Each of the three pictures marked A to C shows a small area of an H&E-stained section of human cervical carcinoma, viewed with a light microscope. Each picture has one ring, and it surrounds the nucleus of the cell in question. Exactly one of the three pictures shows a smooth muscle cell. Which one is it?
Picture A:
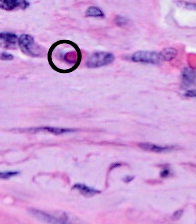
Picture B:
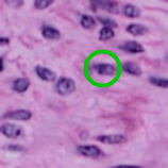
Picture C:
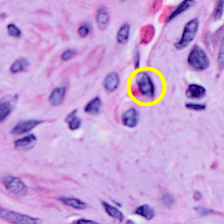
B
